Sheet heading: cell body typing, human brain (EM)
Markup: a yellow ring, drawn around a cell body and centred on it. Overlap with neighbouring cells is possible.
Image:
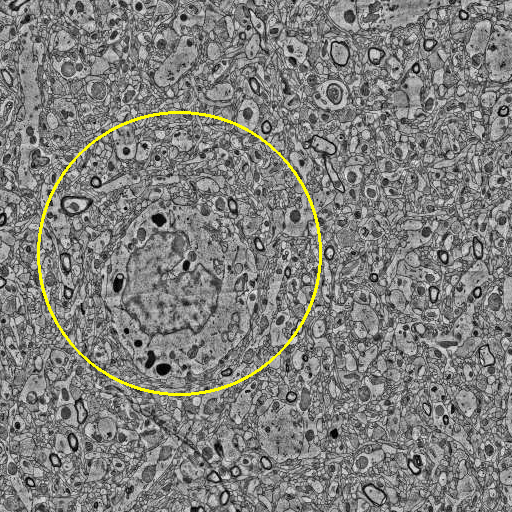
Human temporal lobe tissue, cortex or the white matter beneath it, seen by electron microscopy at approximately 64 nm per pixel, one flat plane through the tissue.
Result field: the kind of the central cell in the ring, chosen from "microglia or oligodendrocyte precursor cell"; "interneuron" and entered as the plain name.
interneuron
